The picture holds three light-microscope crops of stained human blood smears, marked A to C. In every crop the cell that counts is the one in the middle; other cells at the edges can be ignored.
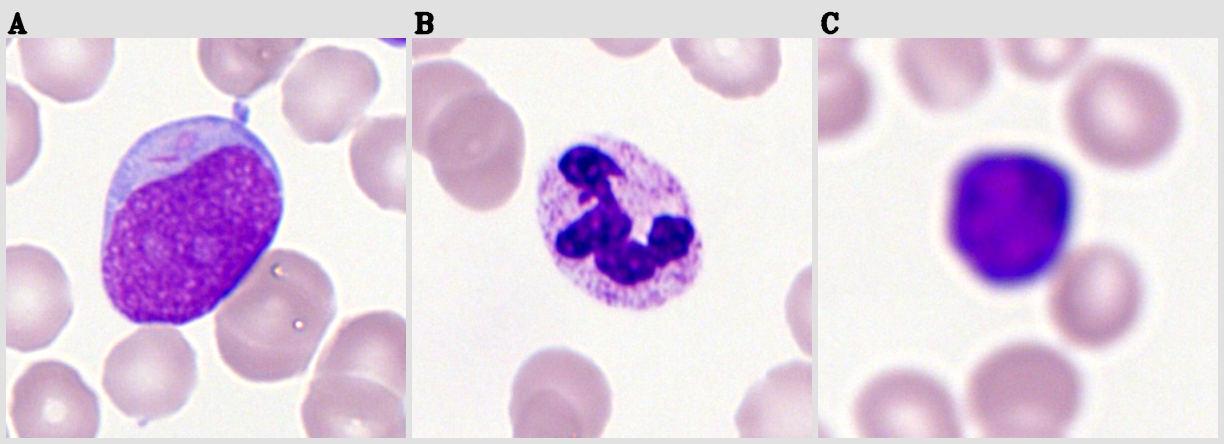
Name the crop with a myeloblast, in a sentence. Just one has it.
Crop A is the crop featuring a myeloblast at its center.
